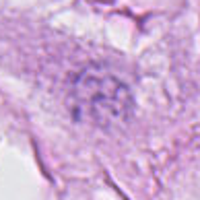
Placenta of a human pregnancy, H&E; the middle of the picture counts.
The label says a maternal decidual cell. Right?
Right.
